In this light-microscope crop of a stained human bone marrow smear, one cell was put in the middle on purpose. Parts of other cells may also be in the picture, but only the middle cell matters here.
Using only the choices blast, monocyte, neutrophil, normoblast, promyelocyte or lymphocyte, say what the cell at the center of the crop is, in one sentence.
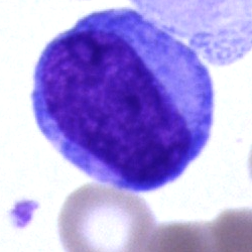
The cell at the central position in this crop is a blast.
